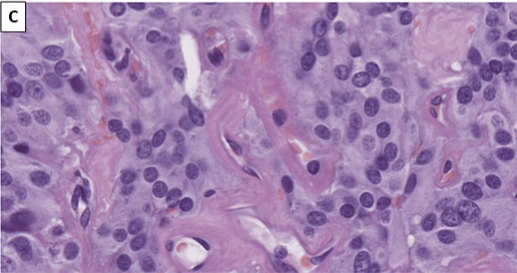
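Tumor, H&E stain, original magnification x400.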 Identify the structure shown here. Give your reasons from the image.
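Intersecting vascularized stroma. Pink collagenous strands containing small vessels cross between the cells. Small open lumens lie within the pink strands.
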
